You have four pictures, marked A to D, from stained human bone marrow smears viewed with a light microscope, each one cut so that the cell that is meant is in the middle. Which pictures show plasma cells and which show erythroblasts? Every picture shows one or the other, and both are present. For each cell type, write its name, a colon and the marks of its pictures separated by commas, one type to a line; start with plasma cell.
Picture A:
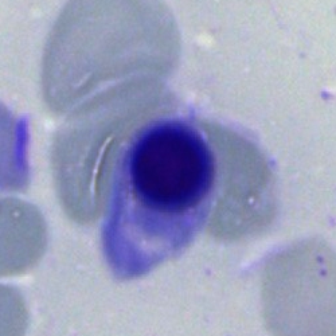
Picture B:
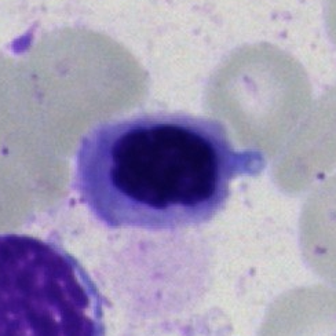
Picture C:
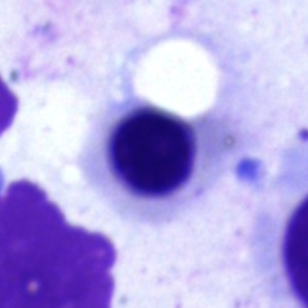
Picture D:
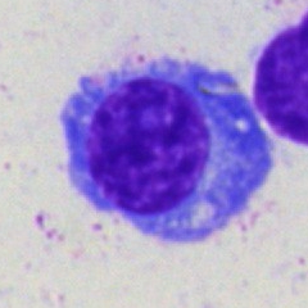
plasma cell: D
erythroblast: A, B, C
